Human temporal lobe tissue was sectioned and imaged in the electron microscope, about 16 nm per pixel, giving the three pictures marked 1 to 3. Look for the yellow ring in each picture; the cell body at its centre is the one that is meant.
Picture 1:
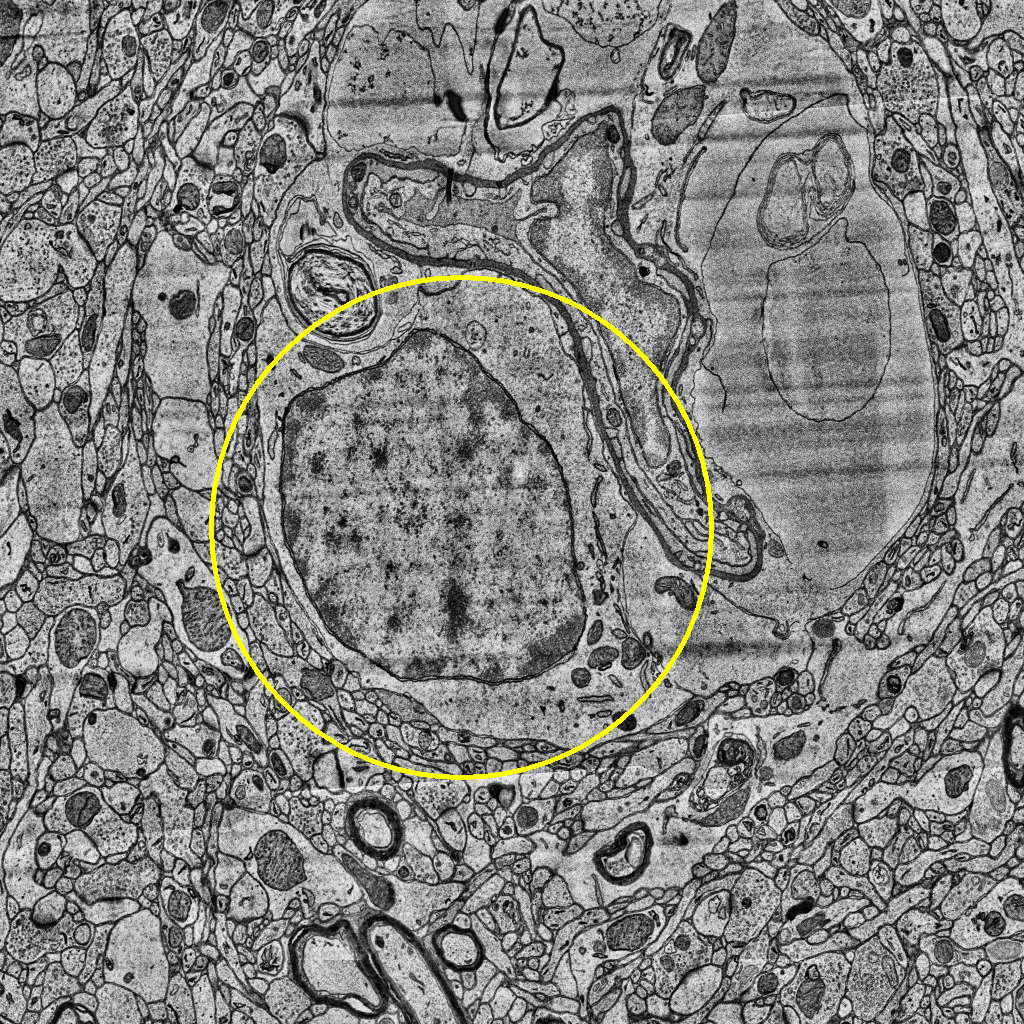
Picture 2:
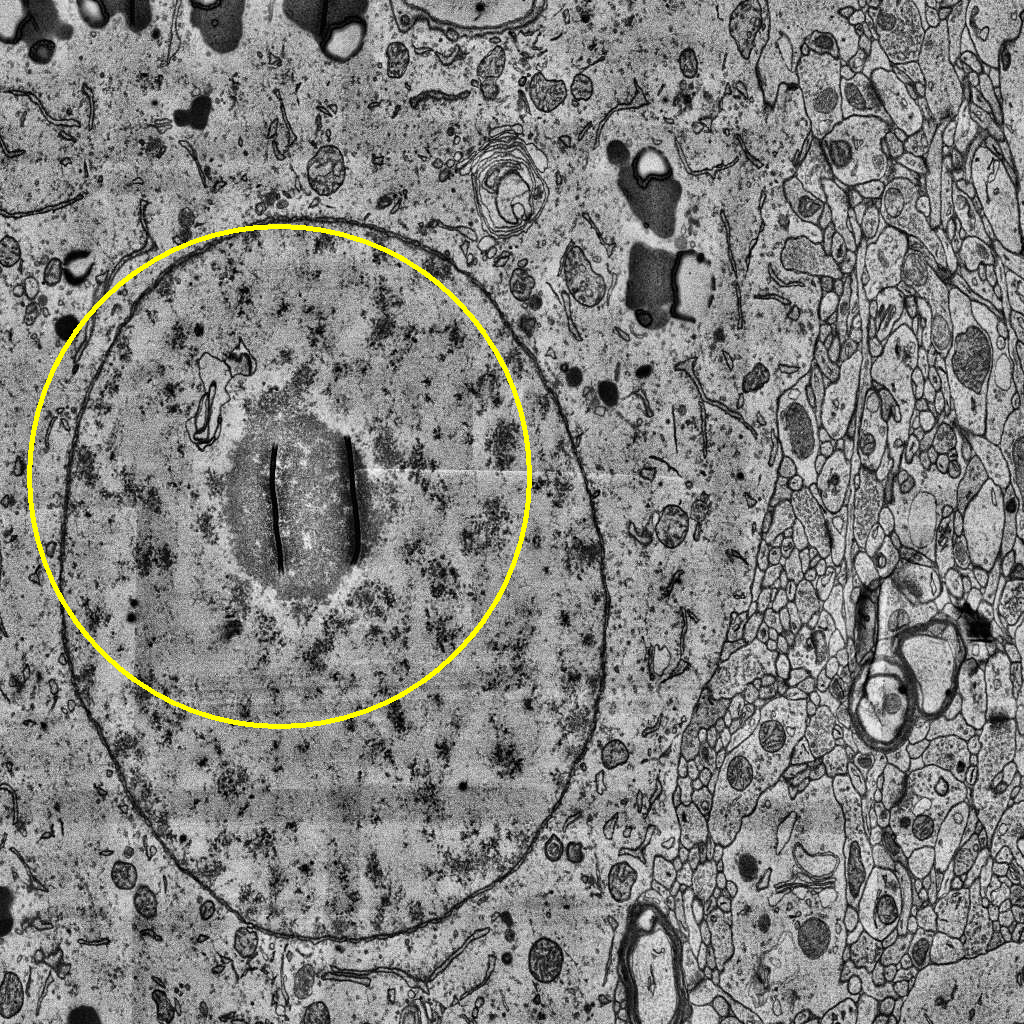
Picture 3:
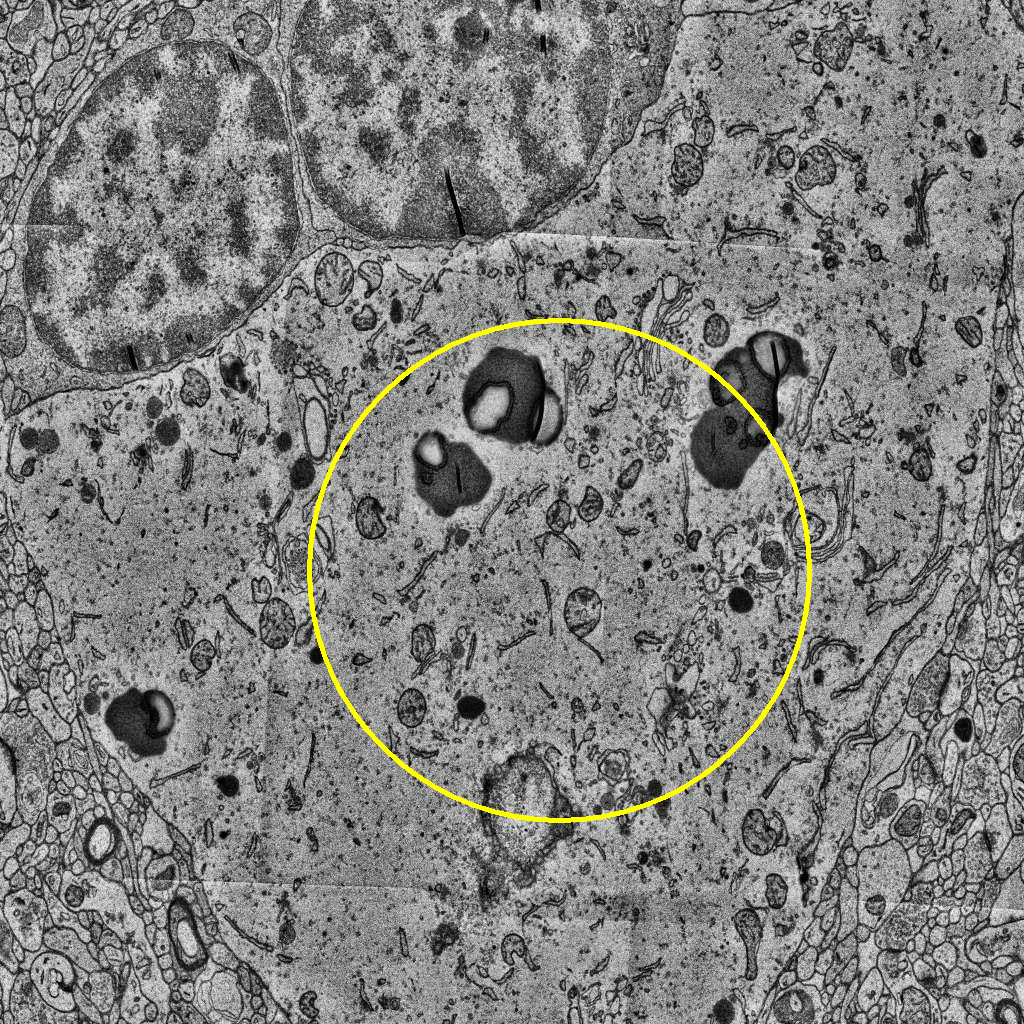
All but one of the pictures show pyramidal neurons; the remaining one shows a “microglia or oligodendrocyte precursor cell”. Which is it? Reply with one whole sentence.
Picture 1 shows the “microglia or oligodendrocyte precursor cell”.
